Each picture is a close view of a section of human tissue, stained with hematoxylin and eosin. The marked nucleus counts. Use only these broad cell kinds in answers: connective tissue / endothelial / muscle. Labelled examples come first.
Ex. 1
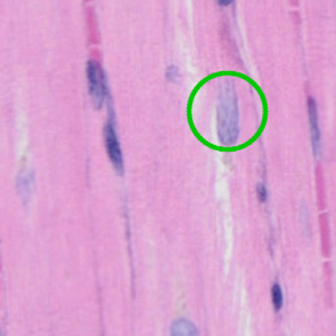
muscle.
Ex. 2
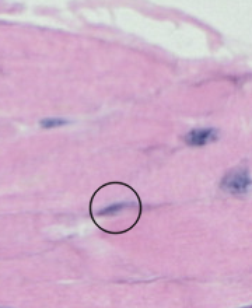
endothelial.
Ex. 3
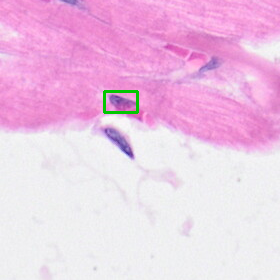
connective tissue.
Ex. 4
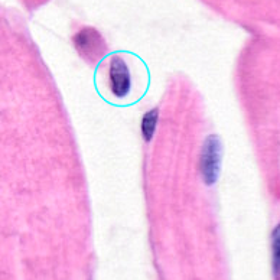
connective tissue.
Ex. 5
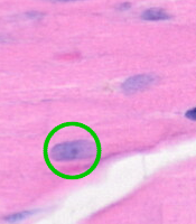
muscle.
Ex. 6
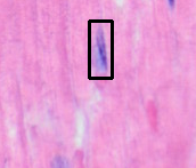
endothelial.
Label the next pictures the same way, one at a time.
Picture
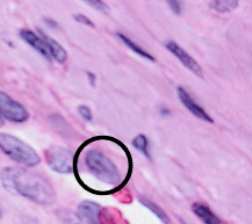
endothelial.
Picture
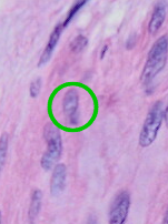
muscle.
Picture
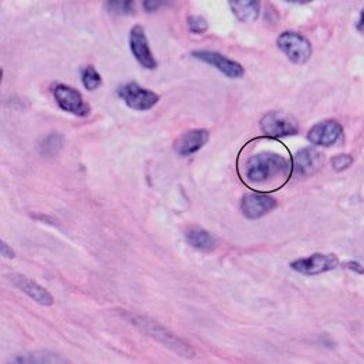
endothelial.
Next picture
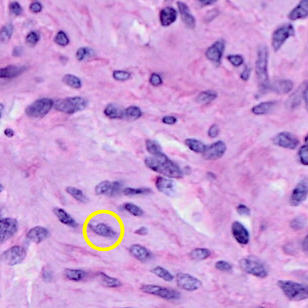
muscle.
